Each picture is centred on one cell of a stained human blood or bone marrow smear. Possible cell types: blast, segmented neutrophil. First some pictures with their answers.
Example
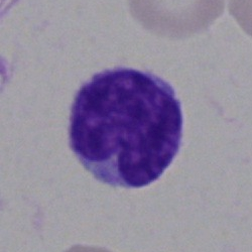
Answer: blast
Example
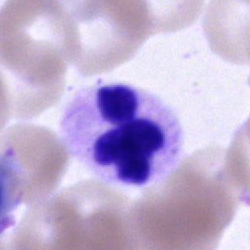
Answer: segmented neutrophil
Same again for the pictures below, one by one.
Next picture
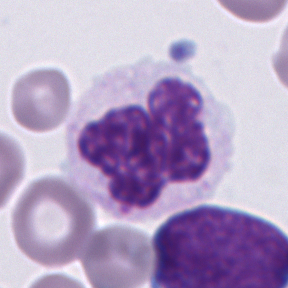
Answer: segmented neutrophil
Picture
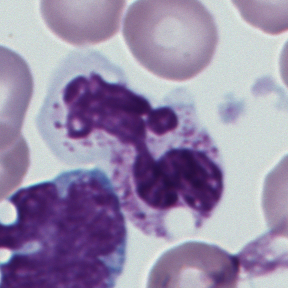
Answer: segmented neutrophil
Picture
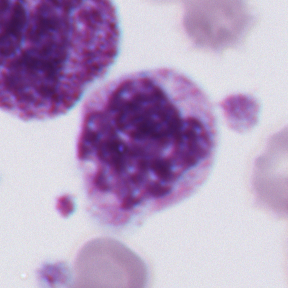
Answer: segmented neutrophil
